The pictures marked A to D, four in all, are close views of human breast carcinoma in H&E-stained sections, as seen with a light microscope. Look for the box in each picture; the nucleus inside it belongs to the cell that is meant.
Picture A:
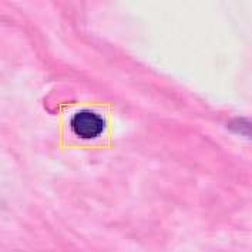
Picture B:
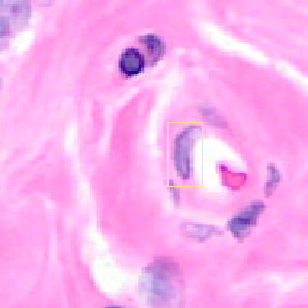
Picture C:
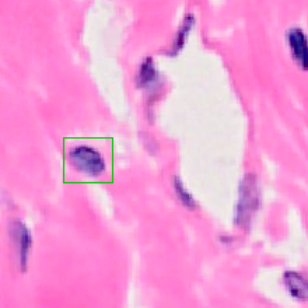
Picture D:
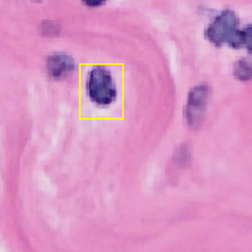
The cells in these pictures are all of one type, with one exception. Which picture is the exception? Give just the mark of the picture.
B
